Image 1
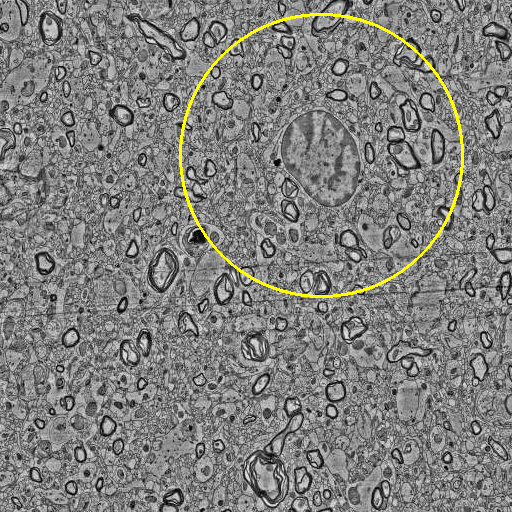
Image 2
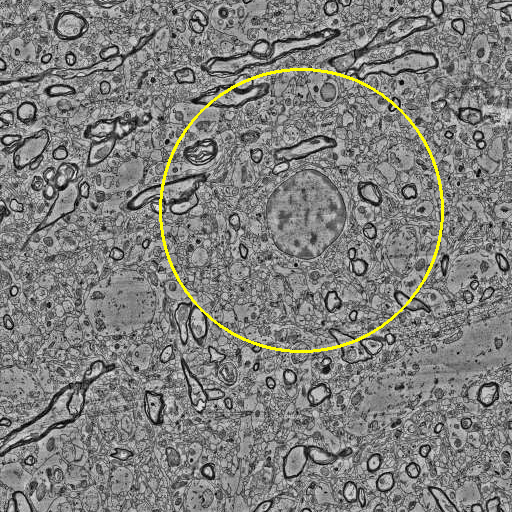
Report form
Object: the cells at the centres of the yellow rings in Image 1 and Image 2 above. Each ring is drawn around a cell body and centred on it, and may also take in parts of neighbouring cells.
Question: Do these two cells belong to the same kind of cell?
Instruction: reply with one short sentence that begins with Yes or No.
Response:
Yes, both belong to the same kind of cell.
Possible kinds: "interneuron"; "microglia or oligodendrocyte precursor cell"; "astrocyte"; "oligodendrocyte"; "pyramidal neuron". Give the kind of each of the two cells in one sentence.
Both cells are the same kind, each one being a microglial cell or oligodendrocyte precursor cell.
